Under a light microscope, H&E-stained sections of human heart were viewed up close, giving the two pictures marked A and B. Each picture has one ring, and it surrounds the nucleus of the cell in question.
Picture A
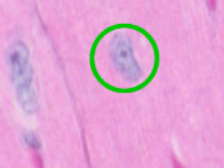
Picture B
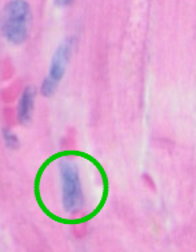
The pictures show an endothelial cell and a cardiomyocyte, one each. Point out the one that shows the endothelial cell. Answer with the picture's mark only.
B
